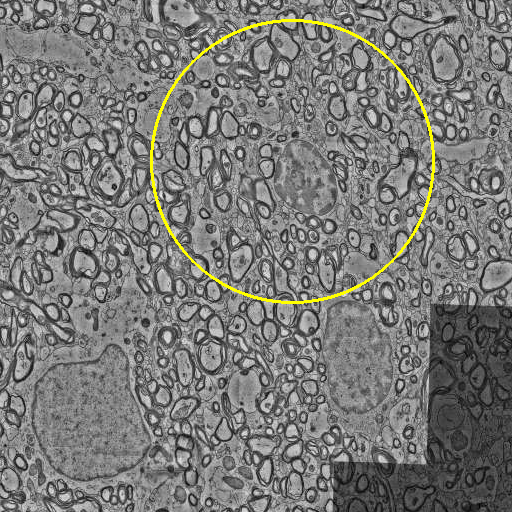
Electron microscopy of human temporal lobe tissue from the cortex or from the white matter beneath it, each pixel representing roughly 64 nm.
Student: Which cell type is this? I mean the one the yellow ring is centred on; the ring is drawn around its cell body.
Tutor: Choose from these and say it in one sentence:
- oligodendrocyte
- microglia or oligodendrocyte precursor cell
The cell the ring is centred on is a microglial cell or oligodendrocyte precursor cell.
